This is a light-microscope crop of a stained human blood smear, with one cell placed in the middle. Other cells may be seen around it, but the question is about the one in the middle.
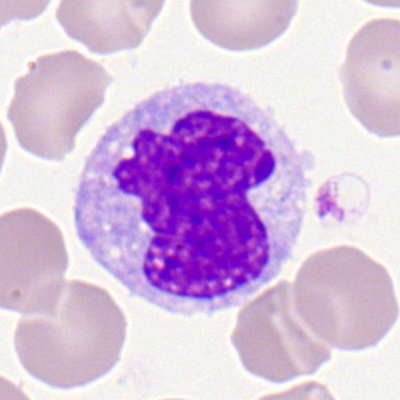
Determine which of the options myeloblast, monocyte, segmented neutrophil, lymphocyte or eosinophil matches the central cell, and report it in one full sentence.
In the centre of this crop there is a monocyte.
